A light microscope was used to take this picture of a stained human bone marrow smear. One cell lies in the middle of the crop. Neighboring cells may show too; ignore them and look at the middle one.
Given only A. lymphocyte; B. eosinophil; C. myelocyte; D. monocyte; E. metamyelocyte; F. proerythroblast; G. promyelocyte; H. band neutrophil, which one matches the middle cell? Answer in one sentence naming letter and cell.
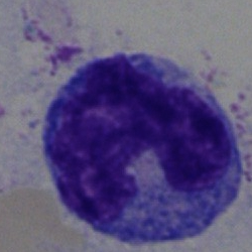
The correct choice is option D, which identifies the middle cell as a monocyte.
